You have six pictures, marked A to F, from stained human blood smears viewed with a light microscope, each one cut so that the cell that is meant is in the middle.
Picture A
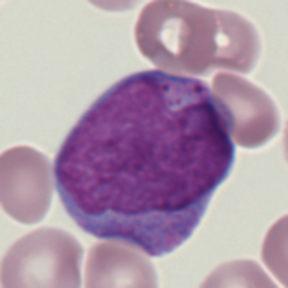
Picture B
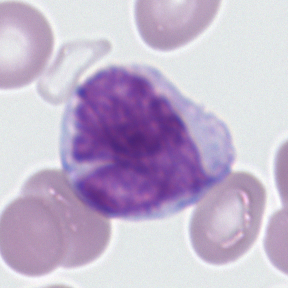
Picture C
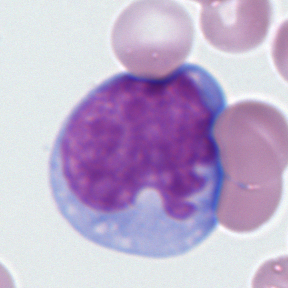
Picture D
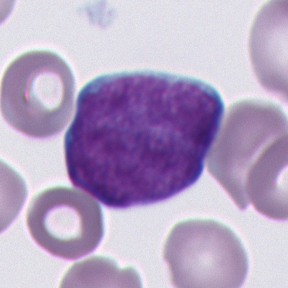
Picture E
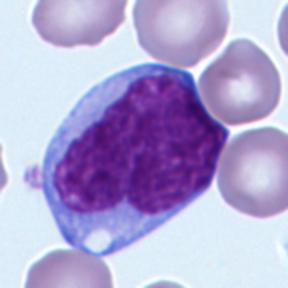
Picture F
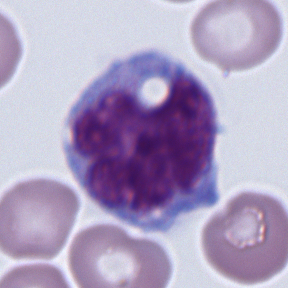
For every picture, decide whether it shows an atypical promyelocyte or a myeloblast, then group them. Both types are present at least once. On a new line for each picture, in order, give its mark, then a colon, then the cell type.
A: atypical promyelocyte
B: atypical promyelocyte
C: myeloblast
D: myeloblast
E: myeloblast
F: myeloblast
